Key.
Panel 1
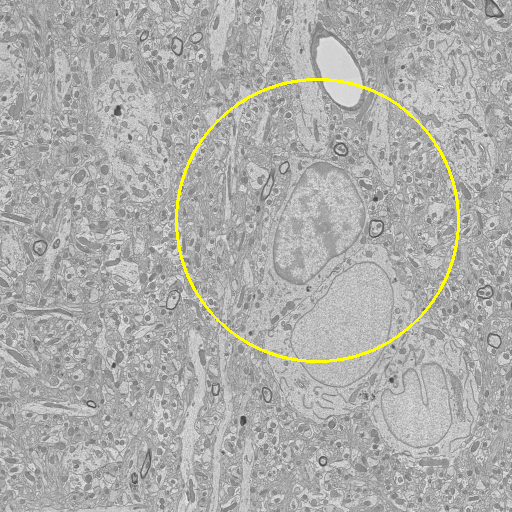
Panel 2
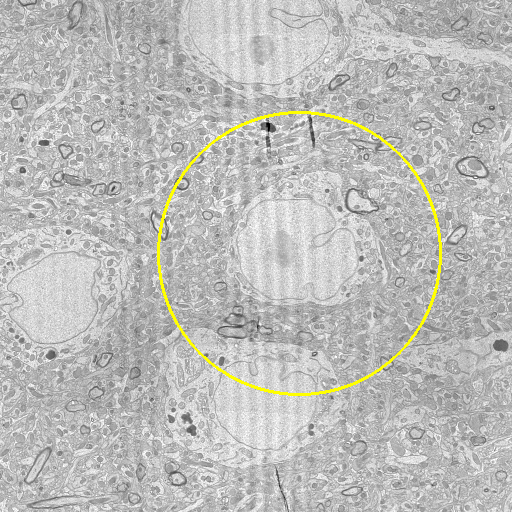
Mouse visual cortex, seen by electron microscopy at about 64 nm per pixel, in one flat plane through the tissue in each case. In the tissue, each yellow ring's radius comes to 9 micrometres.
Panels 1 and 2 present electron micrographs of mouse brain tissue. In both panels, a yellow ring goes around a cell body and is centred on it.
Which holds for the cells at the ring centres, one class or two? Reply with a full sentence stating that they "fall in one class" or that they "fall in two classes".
Taken together, the ring-centre cells of the two panels fall in two classes.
